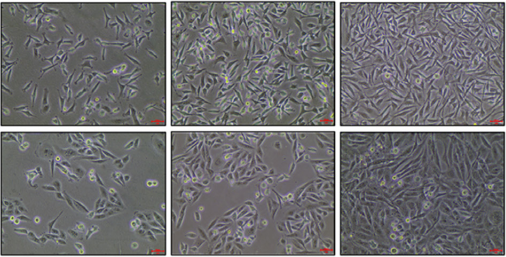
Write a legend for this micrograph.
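At low density the cells lie apart from one another and many are spindle-shaped, with long tapering ends, while a few are rounded and bright-rimmed. As density rises they pack side by side into a sheet of elongated cells with little free space left. The cells of the lower row look somewhat shorter and broader, and more of them are rounded than in the upper row.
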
